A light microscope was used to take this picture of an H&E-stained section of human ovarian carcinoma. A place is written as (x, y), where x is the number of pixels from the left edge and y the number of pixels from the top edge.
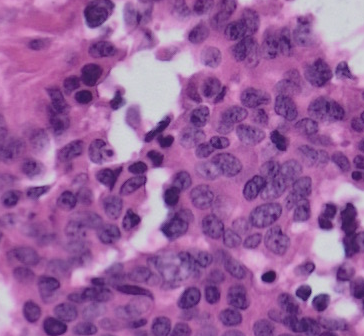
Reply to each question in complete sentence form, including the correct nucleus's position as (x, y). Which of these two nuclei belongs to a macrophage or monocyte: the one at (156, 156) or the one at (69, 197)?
Of the two nuclei present, the one at (69, 197) is within a macrophage or monocyte.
